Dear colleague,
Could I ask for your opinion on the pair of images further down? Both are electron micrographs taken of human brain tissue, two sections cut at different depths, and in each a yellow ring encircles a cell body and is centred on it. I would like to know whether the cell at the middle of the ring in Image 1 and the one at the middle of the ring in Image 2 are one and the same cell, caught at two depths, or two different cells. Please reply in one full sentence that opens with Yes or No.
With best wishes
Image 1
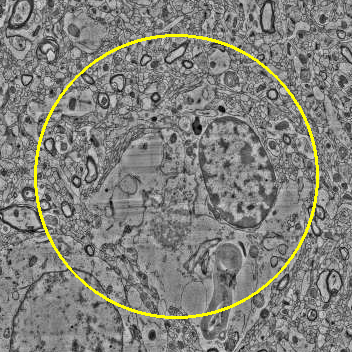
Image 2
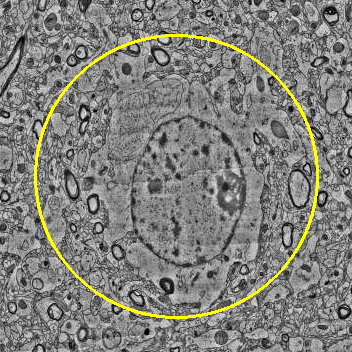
No, the cells inside the two rings are not the same cell.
